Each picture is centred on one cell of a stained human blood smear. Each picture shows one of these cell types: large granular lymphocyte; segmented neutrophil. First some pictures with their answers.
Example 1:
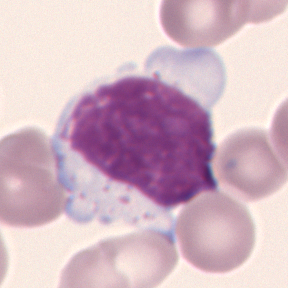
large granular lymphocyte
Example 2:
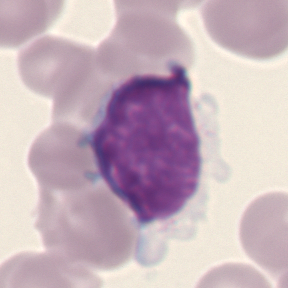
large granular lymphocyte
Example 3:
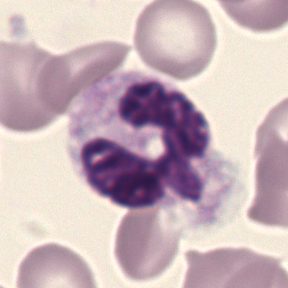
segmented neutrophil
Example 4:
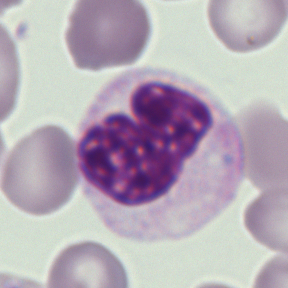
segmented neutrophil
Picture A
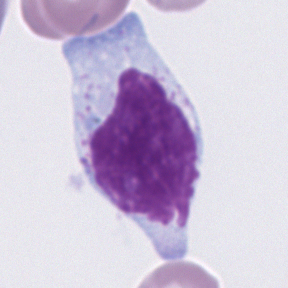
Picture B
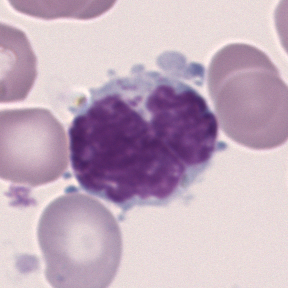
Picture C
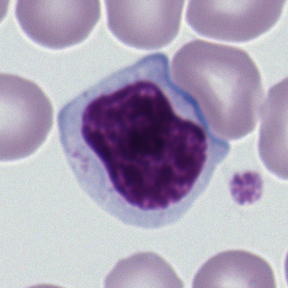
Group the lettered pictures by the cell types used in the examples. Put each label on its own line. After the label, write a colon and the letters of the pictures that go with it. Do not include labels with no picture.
large granular lymphocyte: A, B, C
